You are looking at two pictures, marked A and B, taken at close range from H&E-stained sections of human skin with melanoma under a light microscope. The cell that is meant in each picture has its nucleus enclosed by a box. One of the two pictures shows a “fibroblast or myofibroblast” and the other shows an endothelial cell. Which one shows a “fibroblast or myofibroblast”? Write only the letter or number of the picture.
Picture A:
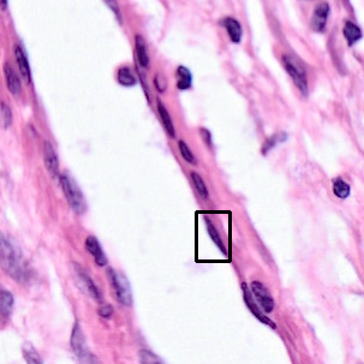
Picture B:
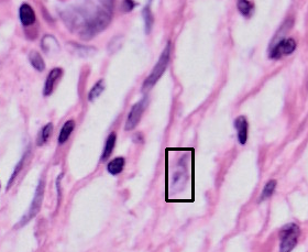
B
